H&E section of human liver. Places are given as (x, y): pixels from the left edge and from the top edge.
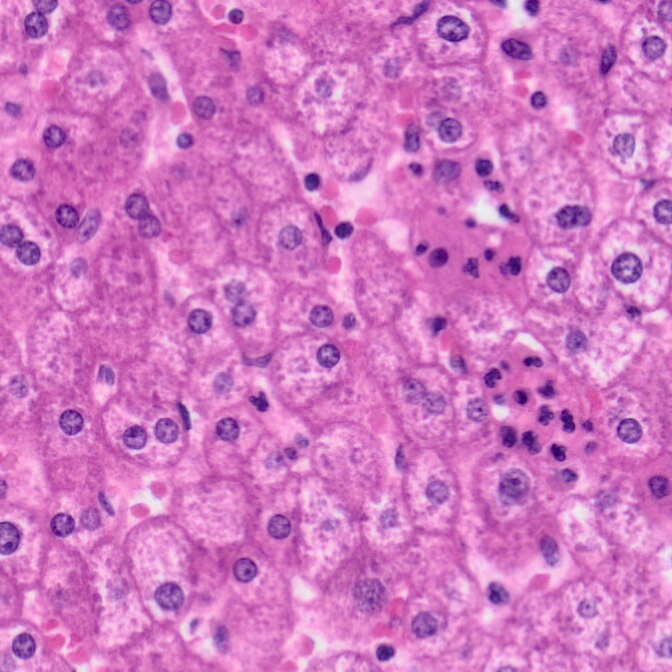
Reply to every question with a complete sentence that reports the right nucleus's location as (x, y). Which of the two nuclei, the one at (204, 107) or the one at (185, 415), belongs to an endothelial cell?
The nucleus of an endothelial cell is the one found at (185, 415), not the other.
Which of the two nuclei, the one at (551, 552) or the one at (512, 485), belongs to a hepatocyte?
The nucleus at (512, 485) is identified as belonging to a hepatocyte.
